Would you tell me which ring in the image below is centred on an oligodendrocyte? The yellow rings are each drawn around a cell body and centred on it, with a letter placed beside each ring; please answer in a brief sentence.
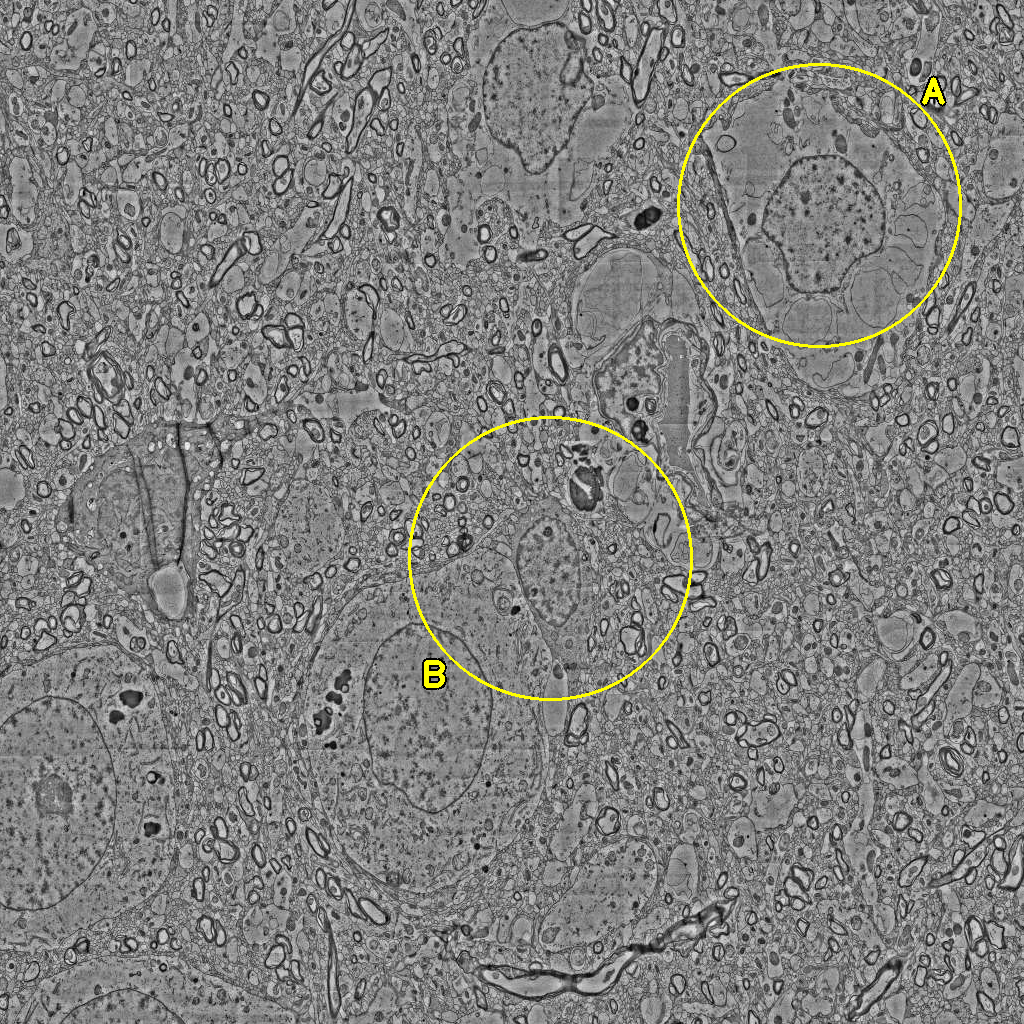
Ring B is centred on it.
